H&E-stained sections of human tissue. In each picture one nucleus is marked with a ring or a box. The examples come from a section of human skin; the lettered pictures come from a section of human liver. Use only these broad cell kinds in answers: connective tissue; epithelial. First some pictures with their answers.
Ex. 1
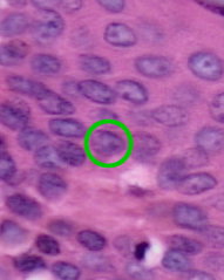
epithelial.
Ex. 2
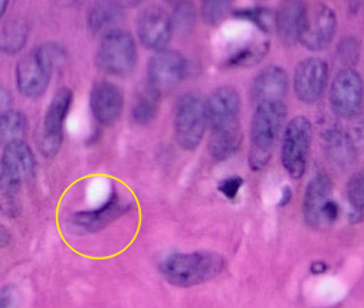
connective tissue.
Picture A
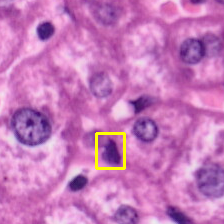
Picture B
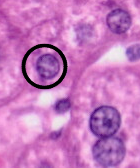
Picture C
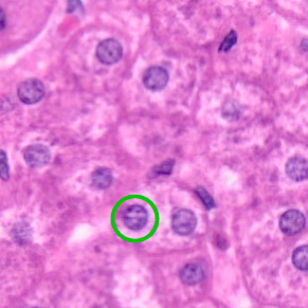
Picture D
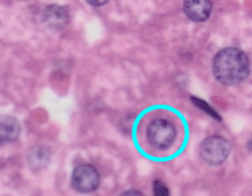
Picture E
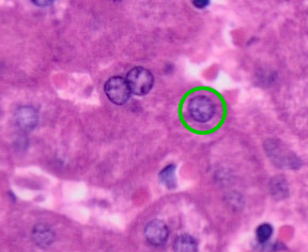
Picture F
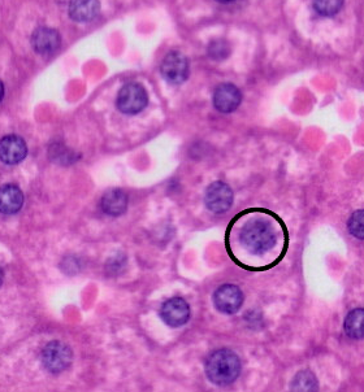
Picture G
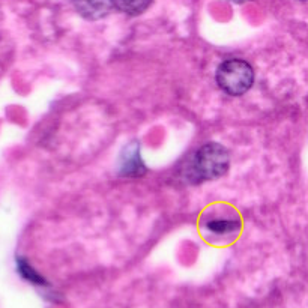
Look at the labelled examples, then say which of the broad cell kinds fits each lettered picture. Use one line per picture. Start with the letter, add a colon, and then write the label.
A: connective tissue.
B: epithelial.
C: epithelial.
D: epithelial.
E: epithelial.
F: epithelial.
G: connective tissue.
